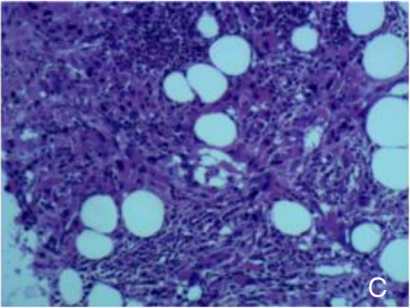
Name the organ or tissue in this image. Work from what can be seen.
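Round empty fat spaces of varying size are scattered through the section. Dense purple-stained cellular tissue fills the space between the fat spaces.
Bone marrow.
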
